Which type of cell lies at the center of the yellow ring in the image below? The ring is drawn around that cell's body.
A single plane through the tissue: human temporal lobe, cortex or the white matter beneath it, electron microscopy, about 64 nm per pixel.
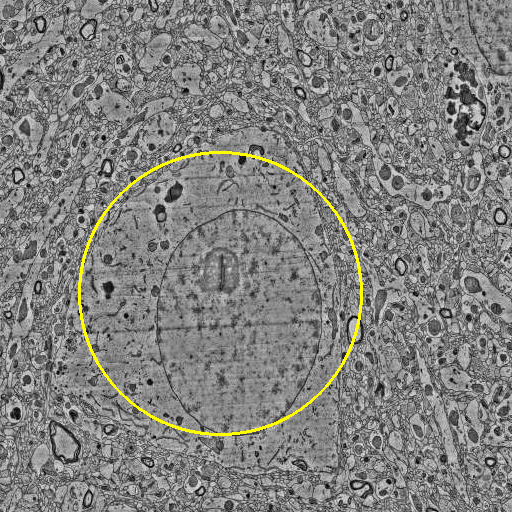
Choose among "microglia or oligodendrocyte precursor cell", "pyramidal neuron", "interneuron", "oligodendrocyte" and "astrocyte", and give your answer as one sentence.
The cell body at the center belongs to a pyramidal neuron.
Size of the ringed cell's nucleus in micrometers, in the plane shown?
About 15 micrometres by about 11 micrometres in this plane.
